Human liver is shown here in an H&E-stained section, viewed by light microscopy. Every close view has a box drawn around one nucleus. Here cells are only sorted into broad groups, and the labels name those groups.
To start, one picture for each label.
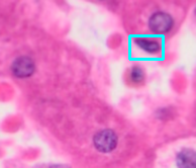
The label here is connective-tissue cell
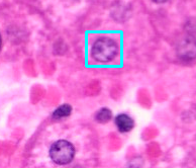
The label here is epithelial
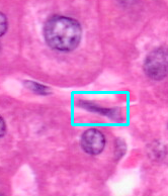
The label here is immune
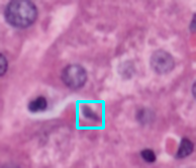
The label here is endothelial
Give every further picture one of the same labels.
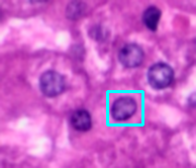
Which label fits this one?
epithelial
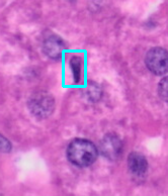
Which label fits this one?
endothelial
